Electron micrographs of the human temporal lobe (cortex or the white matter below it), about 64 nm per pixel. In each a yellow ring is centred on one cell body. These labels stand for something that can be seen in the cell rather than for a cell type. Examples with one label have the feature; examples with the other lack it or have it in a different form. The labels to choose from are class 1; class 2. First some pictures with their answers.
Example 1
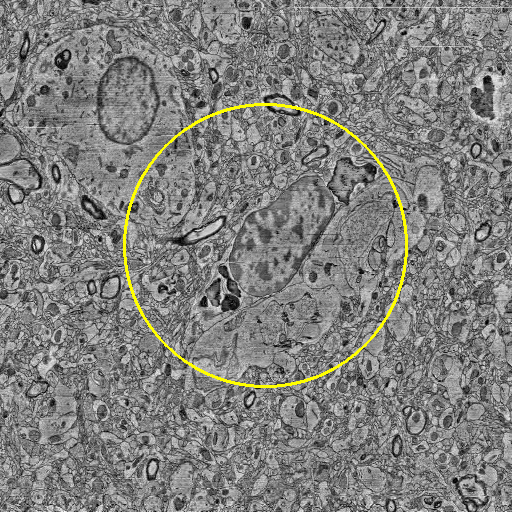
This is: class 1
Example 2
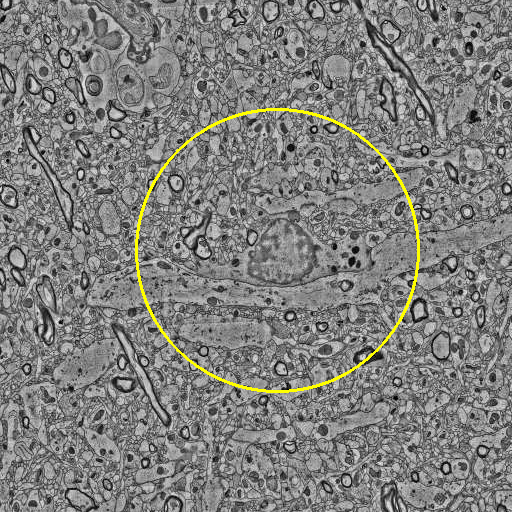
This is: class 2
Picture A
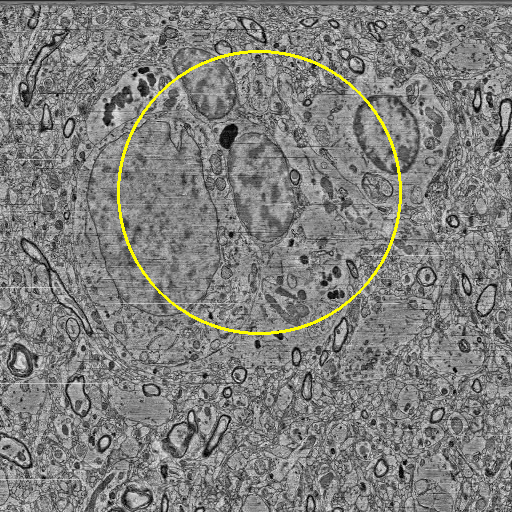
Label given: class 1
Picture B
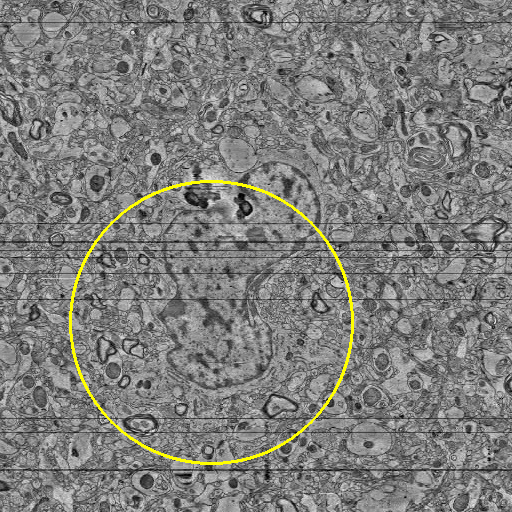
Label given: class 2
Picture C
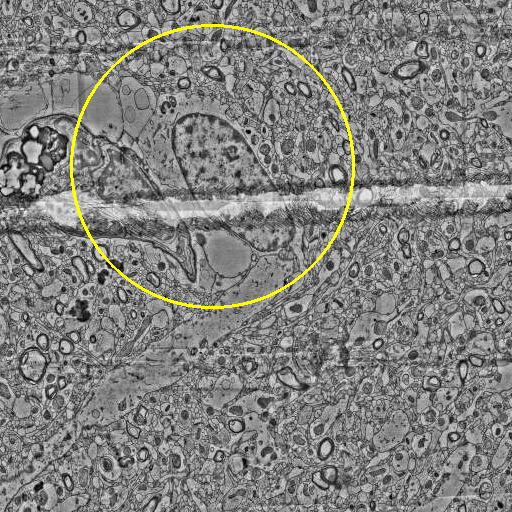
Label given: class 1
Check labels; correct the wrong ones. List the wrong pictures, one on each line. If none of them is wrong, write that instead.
B should be class 1, not class 2
C should be class 2, not class 1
